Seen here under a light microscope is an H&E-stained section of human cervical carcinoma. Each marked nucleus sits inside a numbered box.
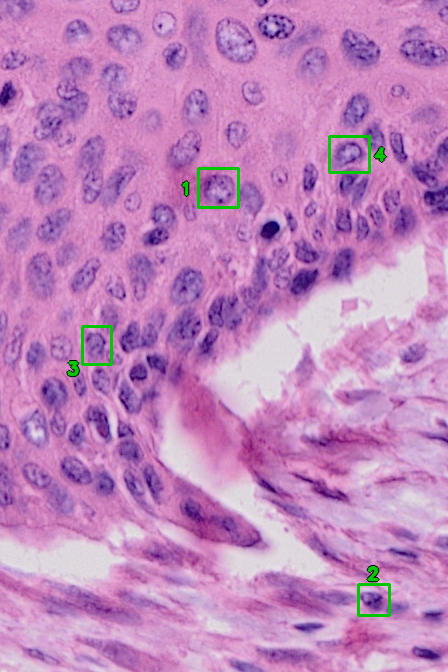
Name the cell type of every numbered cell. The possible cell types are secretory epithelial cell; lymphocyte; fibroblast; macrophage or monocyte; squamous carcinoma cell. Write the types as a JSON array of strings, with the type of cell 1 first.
["squamous carcinoma cell", "lymphocyte", "squamous carcinoma cell", "squamous carcinoma cell"]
